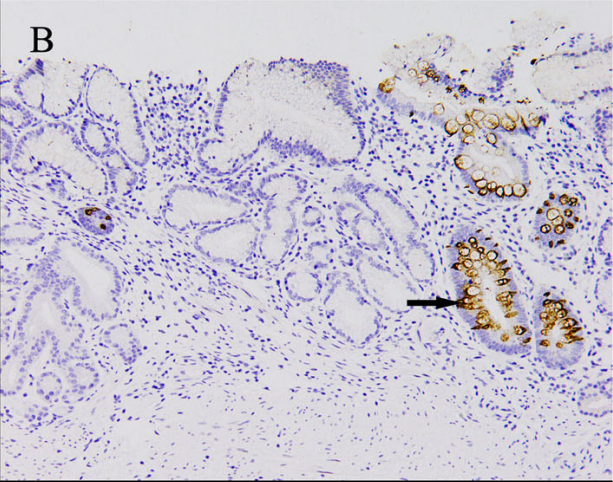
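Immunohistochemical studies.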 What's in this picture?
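Glandular mucosa with scattered glands set in a cellular stroma. Most glands are lined by pale columnar cells with small basal nuclei and show no brown colour. On the right, a few glands look different: their lining holds many rounded, clear, mucin-like vacuoles, each ringed by brown stain, giving a bubbly, goblet-like appearance, with nuclei pushed to the base. The arrowed gland is of this kind. These brown-ringed vacuolated glands stand out sharply from the unstained glands around them and are read as a gland with intestinal metaplasia.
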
